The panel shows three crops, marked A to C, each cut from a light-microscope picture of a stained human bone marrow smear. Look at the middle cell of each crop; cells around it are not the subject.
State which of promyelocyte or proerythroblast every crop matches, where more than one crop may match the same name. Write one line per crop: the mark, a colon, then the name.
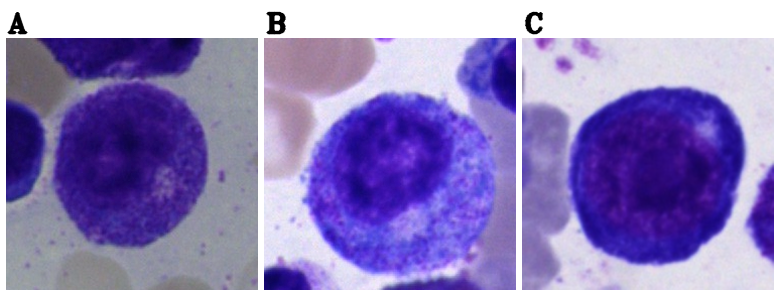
A: promyelocyte
B: promyelocyte
C: proerythroblast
